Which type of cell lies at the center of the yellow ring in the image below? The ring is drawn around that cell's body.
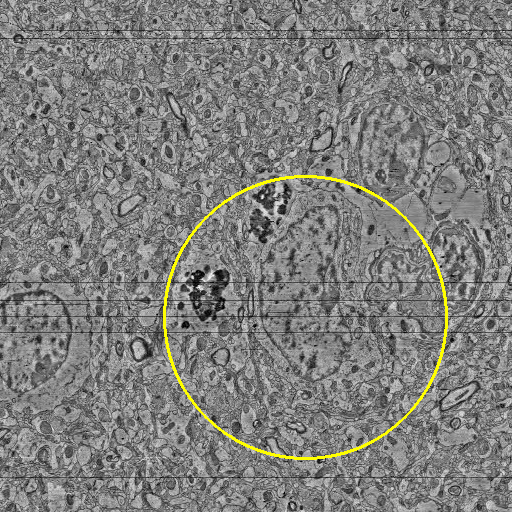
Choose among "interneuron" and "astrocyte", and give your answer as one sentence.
The cell body at the center belongs to an interneuron.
